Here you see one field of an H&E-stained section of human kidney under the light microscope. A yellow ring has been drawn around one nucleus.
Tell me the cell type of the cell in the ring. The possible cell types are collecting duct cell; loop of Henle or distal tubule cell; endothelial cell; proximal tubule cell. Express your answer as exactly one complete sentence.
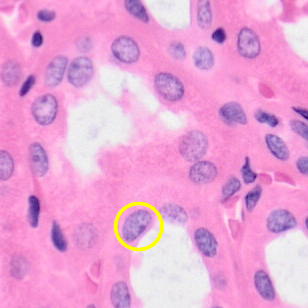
Microscopically, the cell in the ring is categorized as a loop of Henle or distal tubule cell.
